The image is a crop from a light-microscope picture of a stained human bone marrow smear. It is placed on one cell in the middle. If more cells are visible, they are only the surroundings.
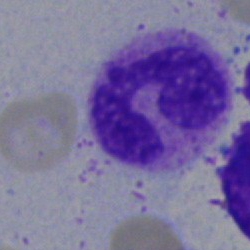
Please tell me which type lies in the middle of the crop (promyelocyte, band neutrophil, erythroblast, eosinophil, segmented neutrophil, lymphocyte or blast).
band neutrophil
